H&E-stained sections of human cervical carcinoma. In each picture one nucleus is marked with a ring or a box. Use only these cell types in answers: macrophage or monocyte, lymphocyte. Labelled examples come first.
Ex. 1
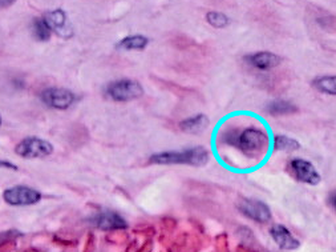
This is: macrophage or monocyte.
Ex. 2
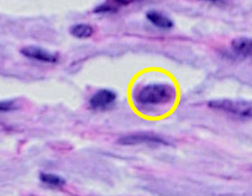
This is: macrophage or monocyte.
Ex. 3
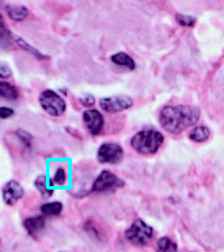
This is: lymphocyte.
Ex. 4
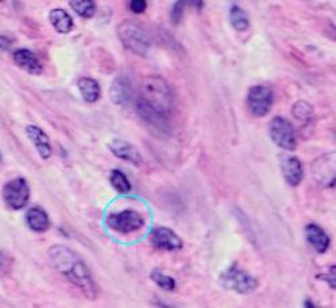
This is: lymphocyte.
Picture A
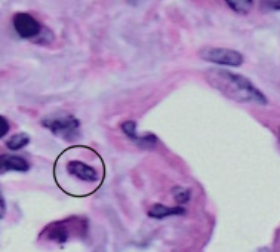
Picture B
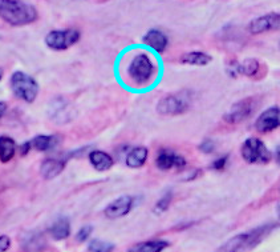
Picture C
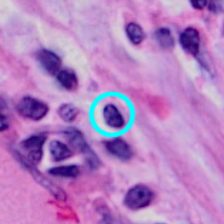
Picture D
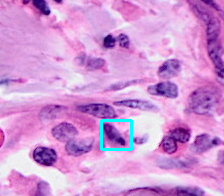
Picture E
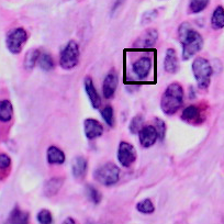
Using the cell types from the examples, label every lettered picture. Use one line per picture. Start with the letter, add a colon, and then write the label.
A: lymphocyte.
B: lymphocyte.
C: lymphocyte.
D: macrophage or monocyte.
E: lymphocyte.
